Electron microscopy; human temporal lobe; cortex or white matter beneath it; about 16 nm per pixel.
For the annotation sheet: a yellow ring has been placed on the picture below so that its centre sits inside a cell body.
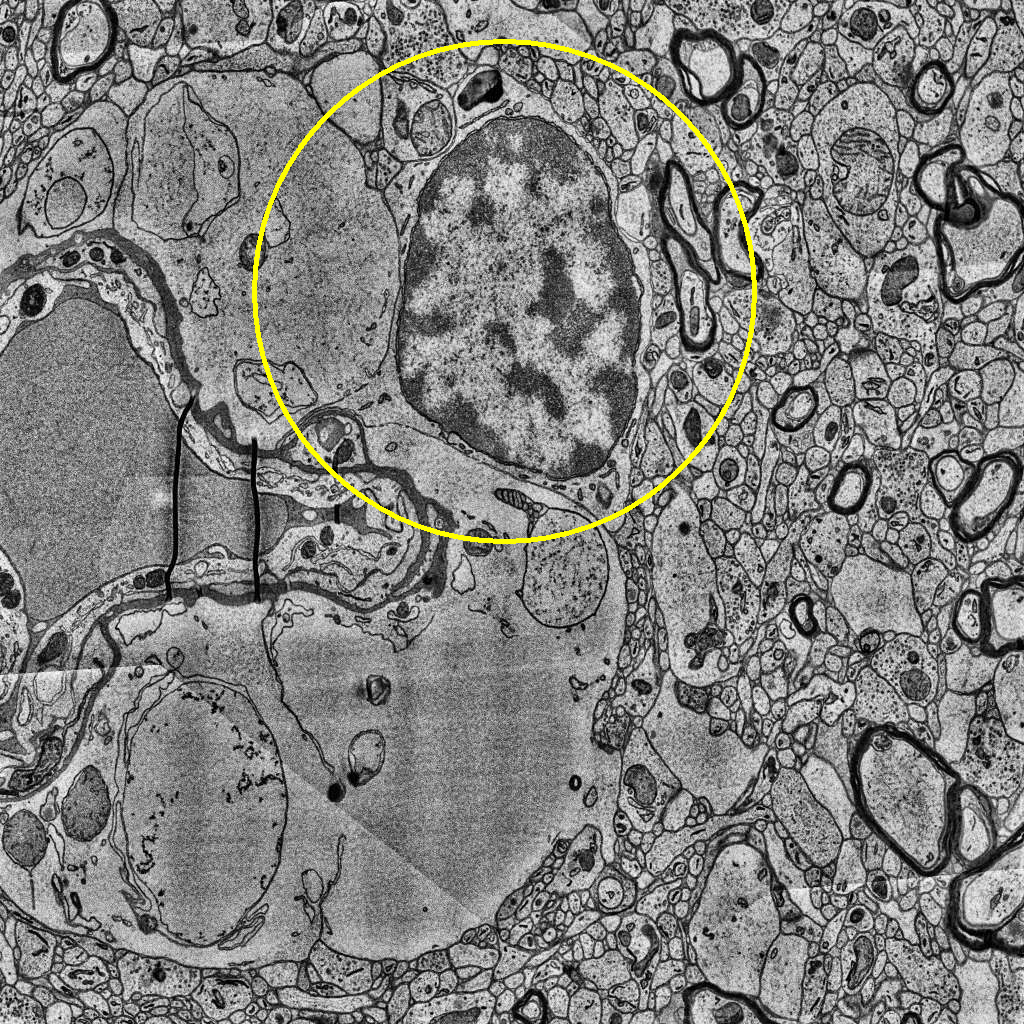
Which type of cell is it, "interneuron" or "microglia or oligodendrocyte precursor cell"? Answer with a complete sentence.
The cell at the ring's centre is a microglial cell or oligodendrocyte precursor cell.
